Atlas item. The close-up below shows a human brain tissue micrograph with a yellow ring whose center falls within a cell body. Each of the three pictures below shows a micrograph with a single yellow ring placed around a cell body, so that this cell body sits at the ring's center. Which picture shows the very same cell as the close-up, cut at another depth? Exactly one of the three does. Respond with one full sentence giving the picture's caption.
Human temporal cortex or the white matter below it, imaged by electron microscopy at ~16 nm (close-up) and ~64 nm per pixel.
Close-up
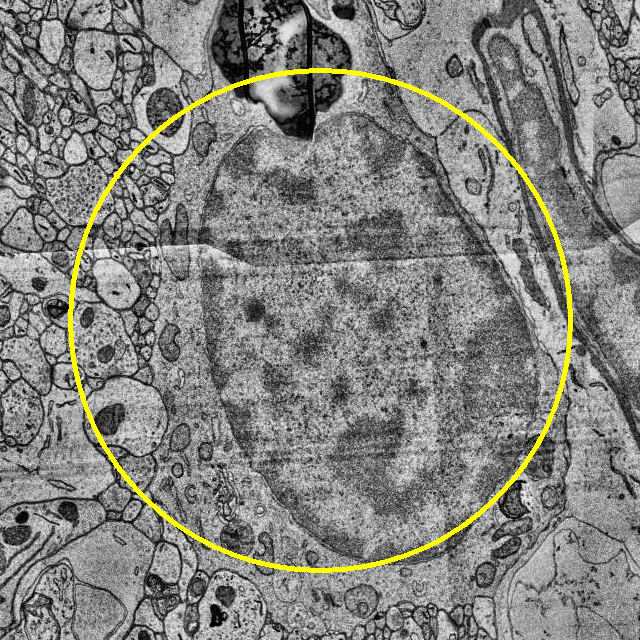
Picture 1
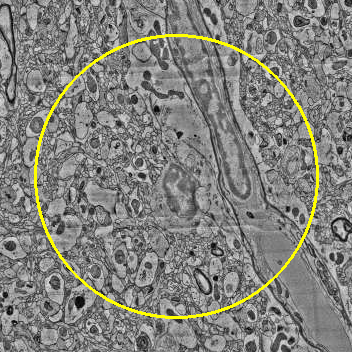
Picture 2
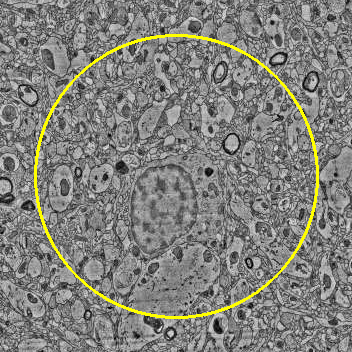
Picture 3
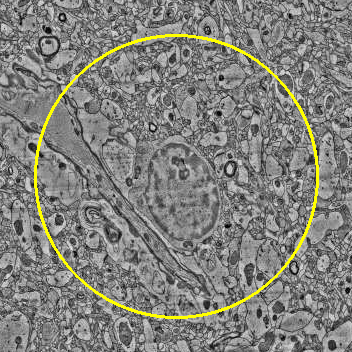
The cell under magnification is the ringed one in Picture 1.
